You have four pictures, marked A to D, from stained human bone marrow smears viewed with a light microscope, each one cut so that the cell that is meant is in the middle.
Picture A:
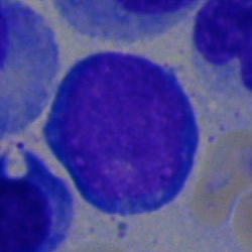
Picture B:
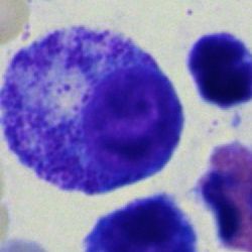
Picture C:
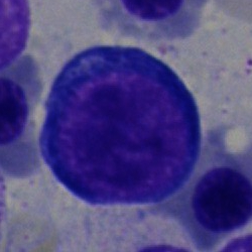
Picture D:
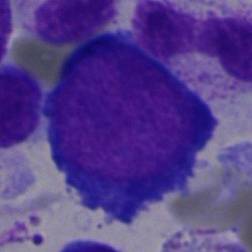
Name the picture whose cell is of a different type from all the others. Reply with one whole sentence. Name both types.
Unlike the rest, which show proerythroblasts, picture B shows a promyelocyte.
